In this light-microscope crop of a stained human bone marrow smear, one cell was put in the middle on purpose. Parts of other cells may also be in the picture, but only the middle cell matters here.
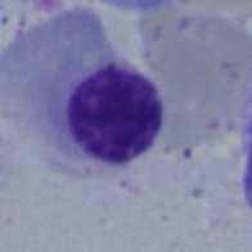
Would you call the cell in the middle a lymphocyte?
no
